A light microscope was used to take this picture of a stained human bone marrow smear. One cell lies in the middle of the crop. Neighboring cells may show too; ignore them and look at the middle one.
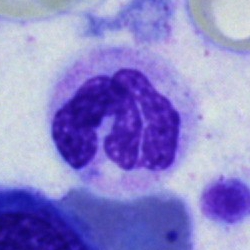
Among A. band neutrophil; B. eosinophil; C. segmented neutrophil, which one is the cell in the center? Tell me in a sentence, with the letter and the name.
The cell at the centre, correctly named in option C, is a segmented neutrophil.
